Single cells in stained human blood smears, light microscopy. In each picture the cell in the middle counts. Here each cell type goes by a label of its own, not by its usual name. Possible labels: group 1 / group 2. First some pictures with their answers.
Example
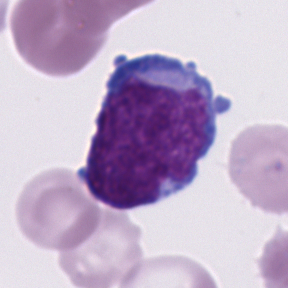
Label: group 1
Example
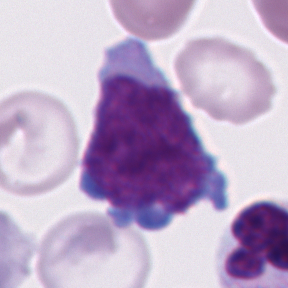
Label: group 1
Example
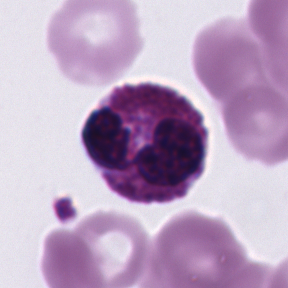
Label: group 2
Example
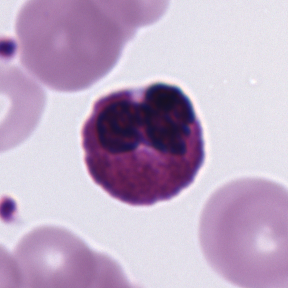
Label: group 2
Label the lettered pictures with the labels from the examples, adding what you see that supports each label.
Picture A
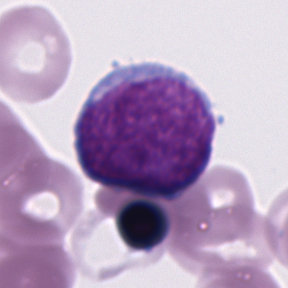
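Label: group 1. The cytoplasm is blue.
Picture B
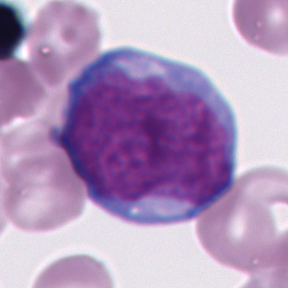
Label: group 1. The cytoplasm is a blue rim that is wider at the top and bottom than on the left side.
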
